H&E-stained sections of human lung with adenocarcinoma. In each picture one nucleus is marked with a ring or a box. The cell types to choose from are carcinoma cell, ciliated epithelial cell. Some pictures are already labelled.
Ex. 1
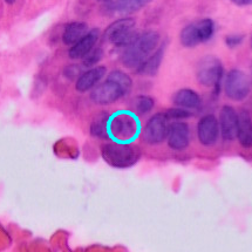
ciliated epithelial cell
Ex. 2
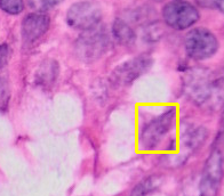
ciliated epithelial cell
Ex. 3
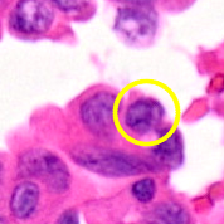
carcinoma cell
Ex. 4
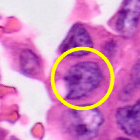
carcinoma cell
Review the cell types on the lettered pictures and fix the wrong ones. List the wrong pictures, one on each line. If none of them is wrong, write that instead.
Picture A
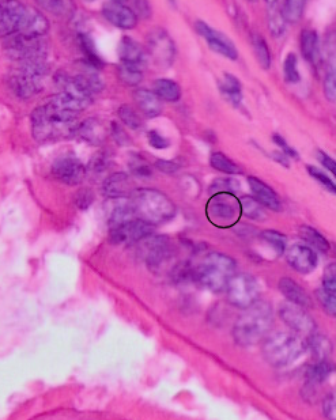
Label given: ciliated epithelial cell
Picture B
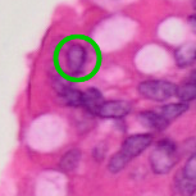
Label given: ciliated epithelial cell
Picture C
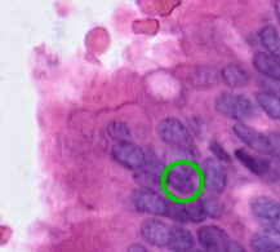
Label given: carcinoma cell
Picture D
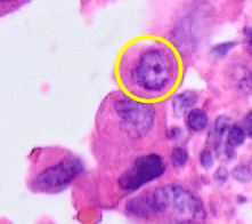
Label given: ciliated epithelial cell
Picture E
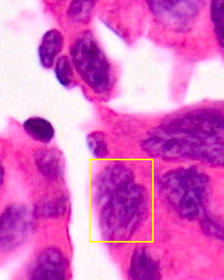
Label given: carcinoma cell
C should be ciliated epithelial cell, not carcinoma cell
D should be carcinoma cell, not ciliated epithelial cell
